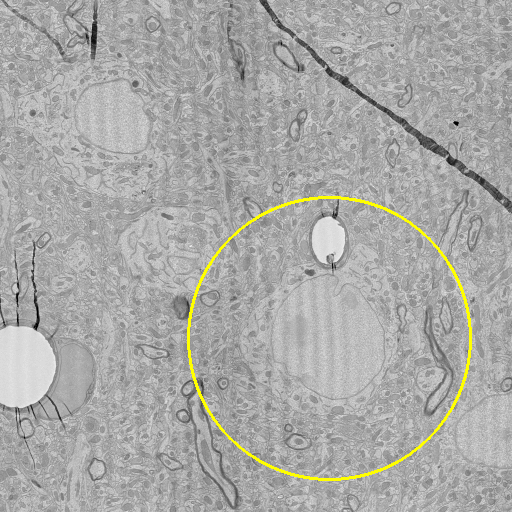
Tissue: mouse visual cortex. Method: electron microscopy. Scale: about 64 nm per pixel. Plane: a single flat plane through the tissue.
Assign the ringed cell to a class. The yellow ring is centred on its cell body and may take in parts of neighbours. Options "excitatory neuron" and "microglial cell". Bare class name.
excitatory neuron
